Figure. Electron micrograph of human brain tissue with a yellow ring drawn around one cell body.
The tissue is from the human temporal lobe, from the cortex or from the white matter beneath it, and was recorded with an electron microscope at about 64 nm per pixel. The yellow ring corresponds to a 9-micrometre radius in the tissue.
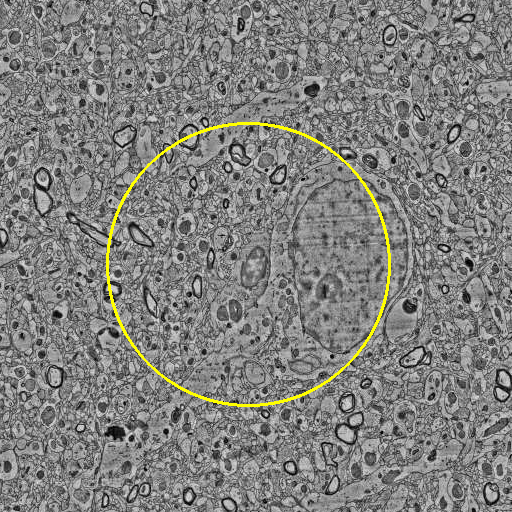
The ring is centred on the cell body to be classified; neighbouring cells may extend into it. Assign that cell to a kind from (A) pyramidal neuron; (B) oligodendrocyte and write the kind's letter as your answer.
B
